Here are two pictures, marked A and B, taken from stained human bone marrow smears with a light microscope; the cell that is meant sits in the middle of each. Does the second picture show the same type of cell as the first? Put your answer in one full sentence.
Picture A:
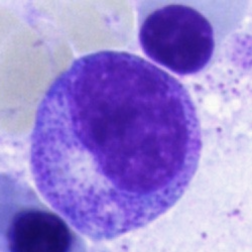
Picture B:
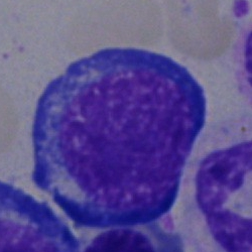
No, picture A shows a myelocyte and picture B shows a proerythroblast.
